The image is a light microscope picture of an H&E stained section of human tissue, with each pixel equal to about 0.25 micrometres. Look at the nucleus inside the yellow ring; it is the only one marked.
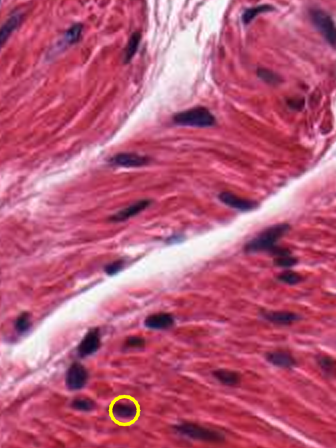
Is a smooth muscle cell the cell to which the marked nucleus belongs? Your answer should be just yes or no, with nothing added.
yes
